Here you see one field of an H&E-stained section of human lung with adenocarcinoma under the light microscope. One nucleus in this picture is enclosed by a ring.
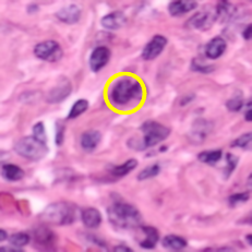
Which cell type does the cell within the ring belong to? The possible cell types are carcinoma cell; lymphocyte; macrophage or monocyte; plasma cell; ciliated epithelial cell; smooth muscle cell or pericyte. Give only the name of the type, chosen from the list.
plasma cell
